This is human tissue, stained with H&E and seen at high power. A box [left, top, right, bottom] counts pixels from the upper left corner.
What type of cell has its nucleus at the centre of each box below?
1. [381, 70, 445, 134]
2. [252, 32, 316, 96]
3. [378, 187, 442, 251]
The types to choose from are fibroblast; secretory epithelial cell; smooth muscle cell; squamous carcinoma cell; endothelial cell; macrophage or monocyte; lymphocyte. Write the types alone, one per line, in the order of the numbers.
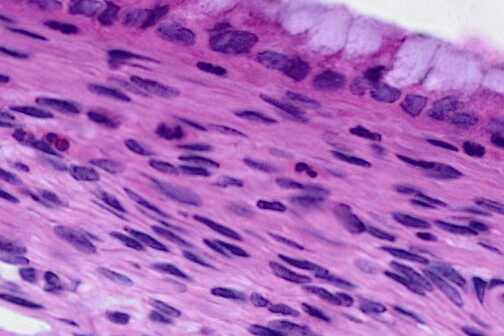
secretory epithelial cell
secretory epithelial cell
fibroblast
